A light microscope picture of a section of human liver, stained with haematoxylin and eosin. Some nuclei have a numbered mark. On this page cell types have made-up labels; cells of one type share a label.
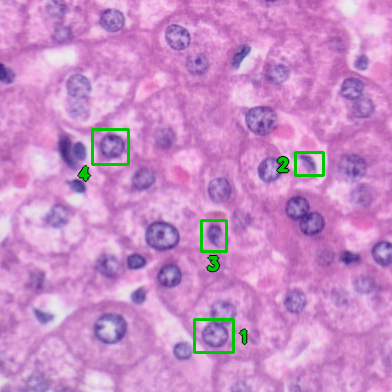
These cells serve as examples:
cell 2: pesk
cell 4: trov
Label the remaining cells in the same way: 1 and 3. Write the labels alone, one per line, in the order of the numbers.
trov
pesk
